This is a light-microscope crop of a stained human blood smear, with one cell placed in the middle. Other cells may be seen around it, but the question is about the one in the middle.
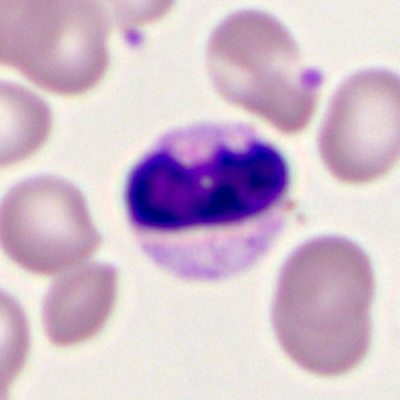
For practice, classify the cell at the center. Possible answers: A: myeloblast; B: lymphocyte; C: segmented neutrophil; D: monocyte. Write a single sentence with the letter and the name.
Here the right option is C, as the cell in the middle is a segmented neutrophil.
